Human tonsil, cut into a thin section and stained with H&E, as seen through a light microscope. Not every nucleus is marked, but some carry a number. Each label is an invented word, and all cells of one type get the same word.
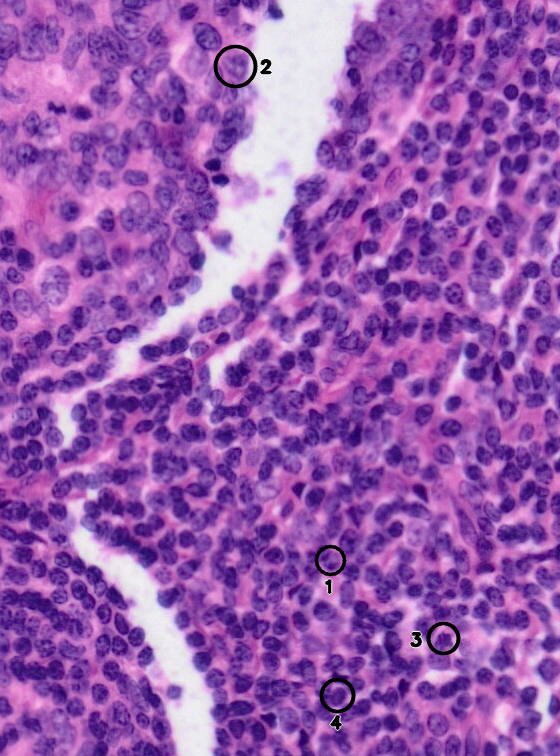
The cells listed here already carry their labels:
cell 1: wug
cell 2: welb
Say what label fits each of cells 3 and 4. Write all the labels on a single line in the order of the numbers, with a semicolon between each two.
wug; wug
